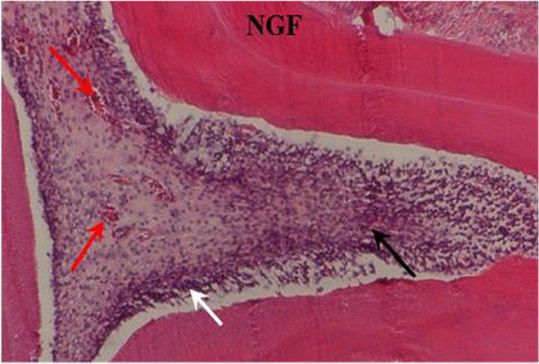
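Here the pulp fills a triangular chamber bounded by pink dentine, and a layer of odontoblasts is still visible at its border as a row of dark nuclei along the wall. The pulp is densely cellular, with many purple nuclei, and toward one side they crowd into a darker focus suggesting inflammatory cell infiltrate. A few small vessels containing red blood cells are scattered in the tissue, fewer and smaller than in a richly vascular pulp. A narrow pale gap separates parts of the pulp edge from the dentine.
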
